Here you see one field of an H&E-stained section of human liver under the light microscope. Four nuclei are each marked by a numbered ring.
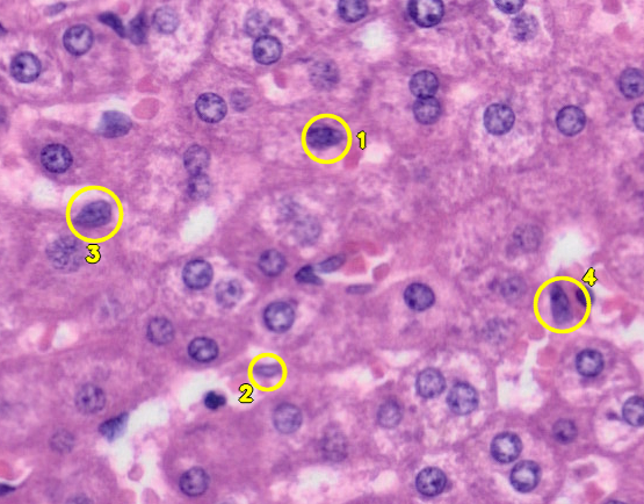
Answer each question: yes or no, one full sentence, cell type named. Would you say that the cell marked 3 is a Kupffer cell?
Yes, of the numbered cells, number 3 is a Kupffer cell.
